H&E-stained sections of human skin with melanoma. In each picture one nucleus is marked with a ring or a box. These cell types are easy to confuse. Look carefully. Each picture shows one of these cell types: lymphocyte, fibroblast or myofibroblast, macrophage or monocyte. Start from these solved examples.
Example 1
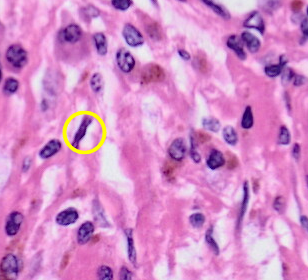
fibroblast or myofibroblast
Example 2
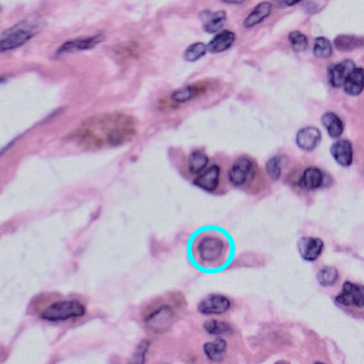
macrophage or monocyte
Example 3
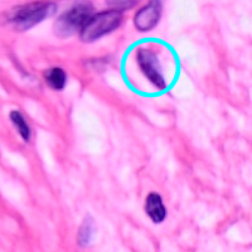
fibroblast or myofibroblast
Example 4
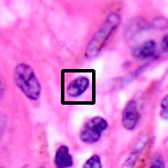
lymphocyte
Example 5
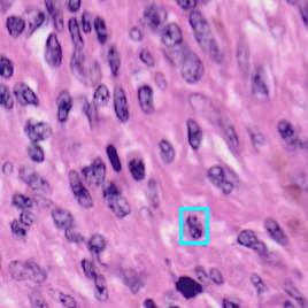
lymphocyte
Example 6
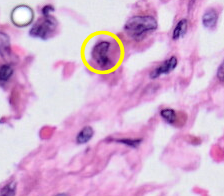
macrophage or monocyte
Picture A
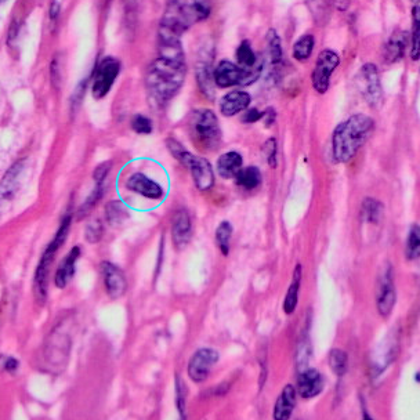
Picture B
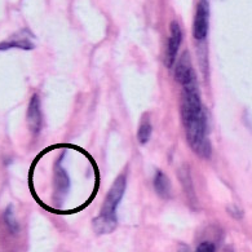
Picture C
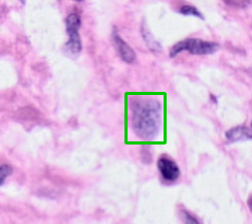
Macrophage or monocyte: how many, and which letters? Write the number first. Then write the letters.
0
